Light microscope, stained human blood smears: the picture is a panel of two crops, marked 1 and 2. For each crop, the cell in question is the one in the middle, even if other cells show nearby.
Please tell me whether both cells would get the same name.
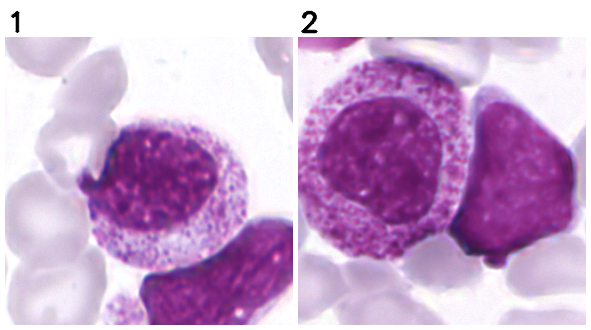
yes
